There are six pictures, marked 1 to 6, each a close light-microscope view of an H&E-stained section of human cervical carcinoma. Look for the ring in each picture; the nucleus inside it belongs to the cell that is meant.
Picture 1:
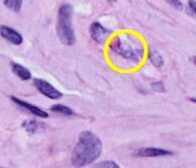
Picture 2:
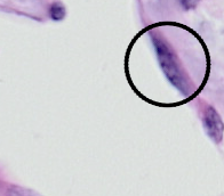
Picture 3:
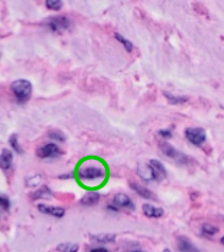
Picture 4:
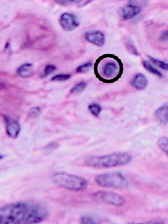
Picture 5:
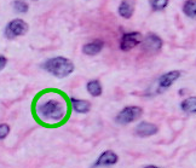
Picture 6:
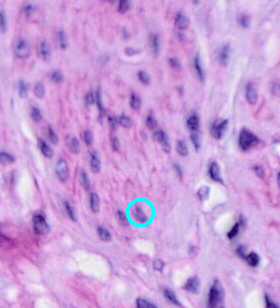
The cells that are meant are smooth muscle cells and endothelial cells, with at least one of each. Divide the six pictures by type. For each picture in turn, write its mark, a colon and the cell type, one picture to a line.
1: endothelial cell
2: endothelial cell
3: endothelial cell
4: smooth muscle cell
5: smooth muscle cell
6: smooth muscle cell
